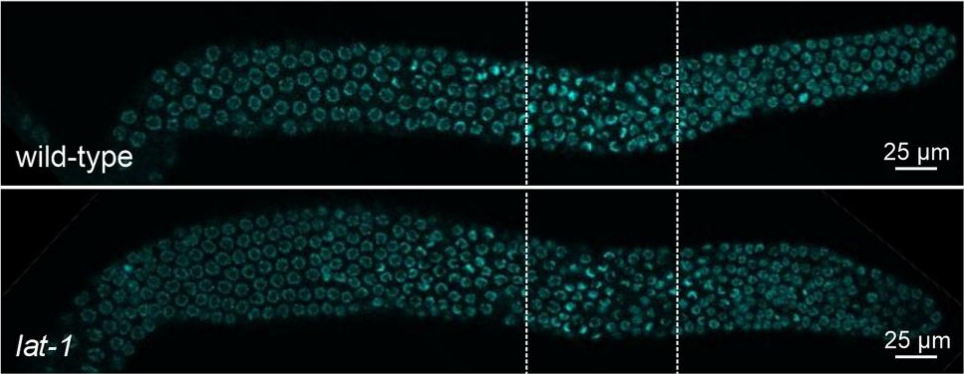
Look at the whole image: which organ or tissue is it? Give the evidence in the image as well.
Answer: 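Distal gonads. Each image shows an elongated tube densely packed with round stained nuclei. Each tube ends in a rounded, closed tip at the right.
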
